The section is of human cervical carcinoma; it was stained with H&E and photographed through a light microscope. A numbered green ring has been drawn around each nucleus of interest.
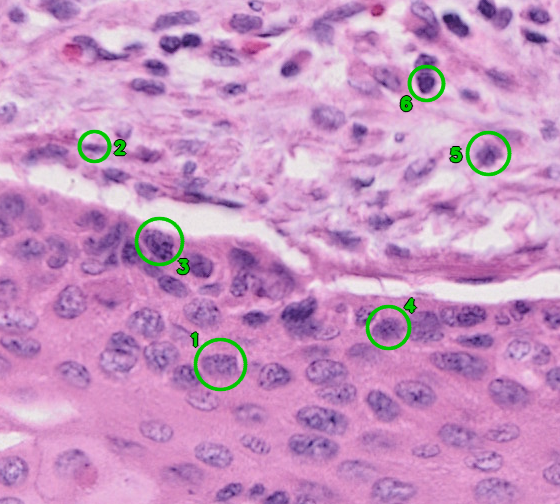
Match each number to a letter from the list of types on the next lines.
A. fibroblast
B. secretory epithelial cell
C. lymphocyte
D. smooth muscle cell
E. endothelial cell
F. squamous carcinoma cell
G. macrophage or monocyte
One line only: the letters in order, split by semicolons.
F; A; F; F; G; C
